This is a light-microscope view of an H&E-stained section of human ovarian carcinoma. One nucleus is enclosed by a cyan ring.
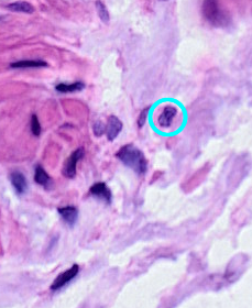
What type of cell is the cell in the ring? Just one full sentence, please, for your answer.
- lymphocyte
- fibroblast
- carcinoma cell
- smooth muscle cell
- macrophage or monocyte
It is as a lymphocyte that the cell in the ring is classified.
